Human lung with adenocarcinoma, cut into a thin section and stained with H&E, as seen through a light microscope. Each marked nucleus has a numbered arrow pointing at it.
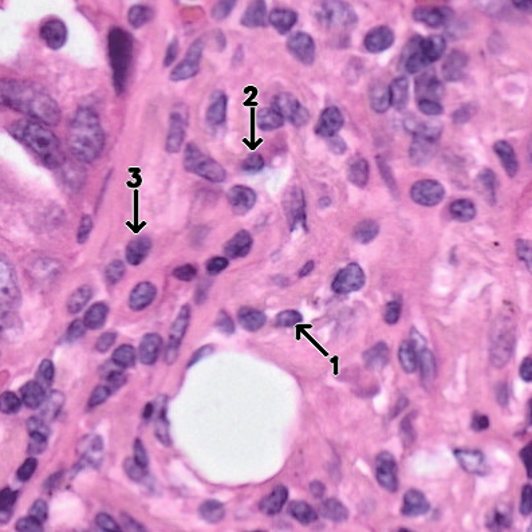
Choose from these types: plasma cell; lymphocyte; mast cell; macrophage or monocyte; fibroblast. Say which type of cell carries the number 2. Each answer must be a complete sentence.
Belonging to a plasma cell is the nucleus that carries the number 2.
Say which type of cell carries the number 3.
The nucleus with number 3 is that of a lymphocyte.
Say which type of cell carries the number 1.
The cell given label 1 is a lymphocyte.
